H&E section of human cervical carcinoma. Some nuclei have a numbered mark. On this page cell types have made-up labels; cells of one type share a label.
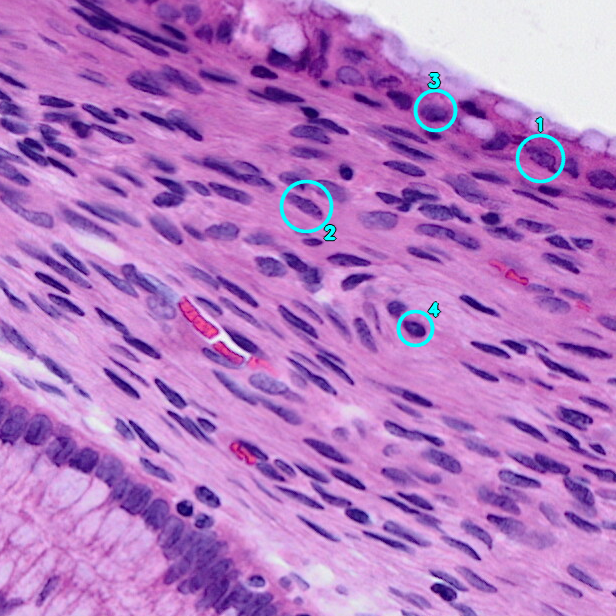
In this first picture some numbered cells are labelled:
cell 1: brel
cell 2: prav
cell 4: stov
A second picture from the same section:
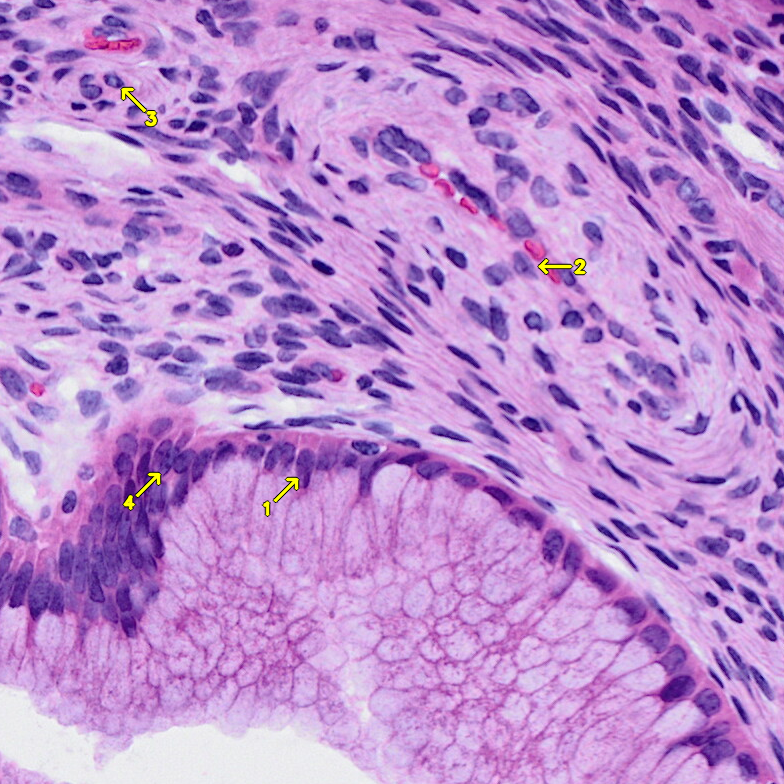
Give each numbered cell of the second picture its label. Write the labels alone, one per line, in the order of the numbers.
brel
stov
stov
brel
